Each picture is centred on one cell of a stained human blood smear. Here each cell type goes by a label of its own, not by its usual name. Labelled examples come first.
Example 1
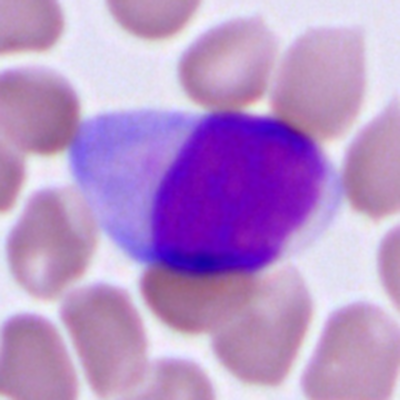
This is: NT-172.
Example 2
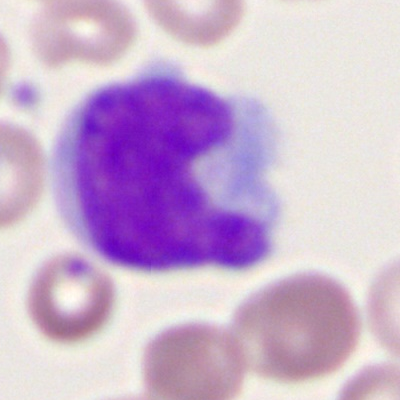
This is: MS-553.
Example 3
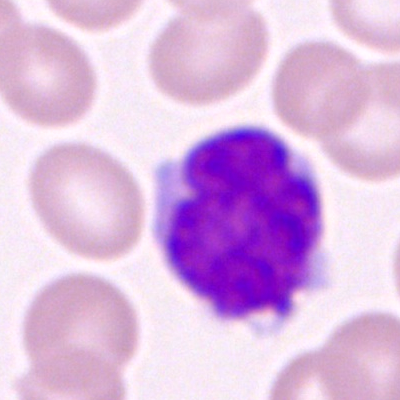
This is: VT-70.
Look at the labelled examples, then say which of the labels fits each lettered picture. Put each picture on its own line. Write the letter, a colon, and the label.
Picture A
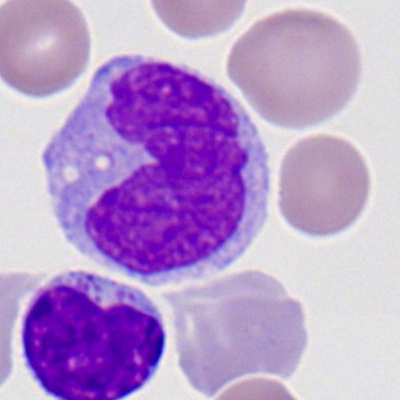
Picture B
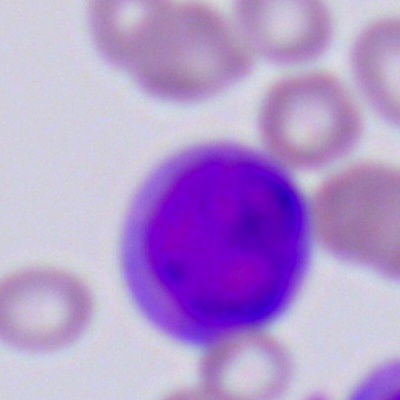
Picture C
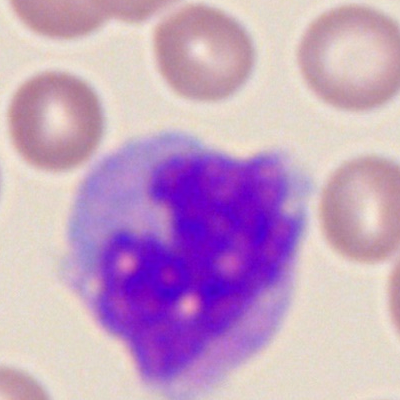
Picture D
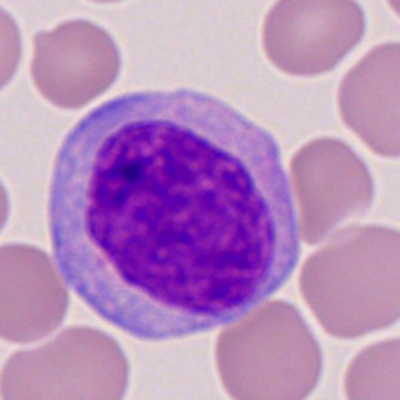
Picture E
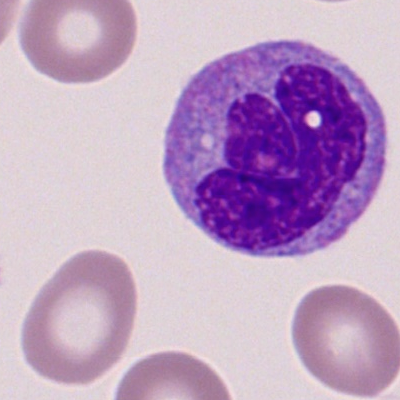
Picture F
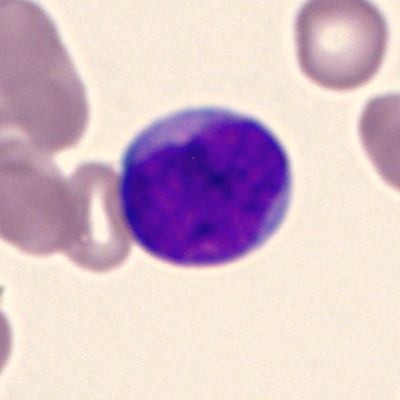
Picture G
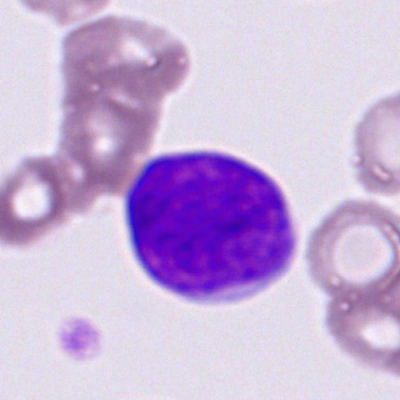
A: MS-553.
B: NT-172.
C: MS-553.
D: MS-553.
E: MS-553.
F: NT-172.
G: NT-172.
